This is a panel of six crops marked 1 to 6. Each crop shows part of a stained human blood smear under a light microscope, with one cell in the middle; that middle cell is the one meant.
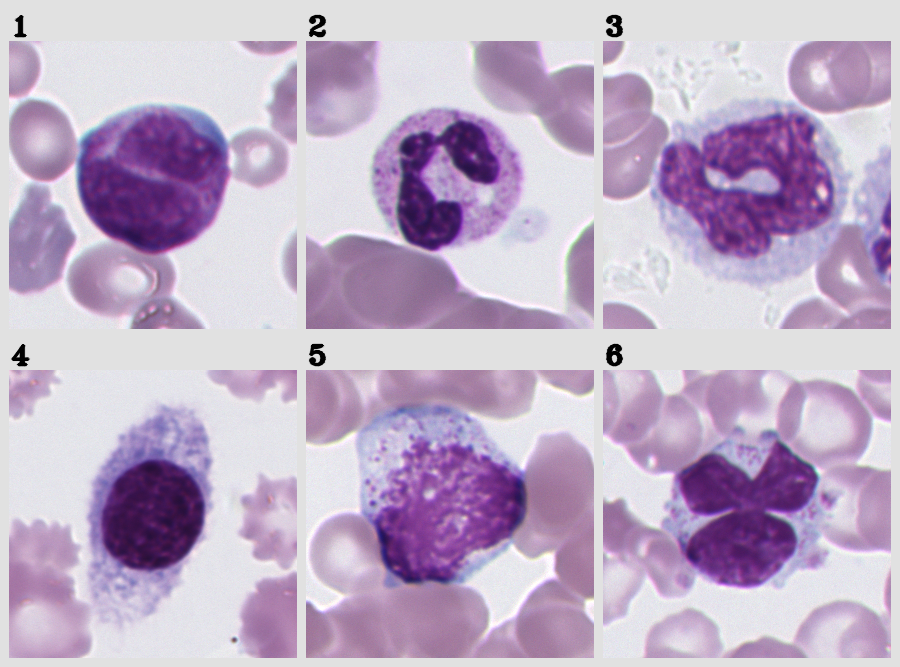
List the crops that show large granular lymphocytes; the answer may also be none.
5, 6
